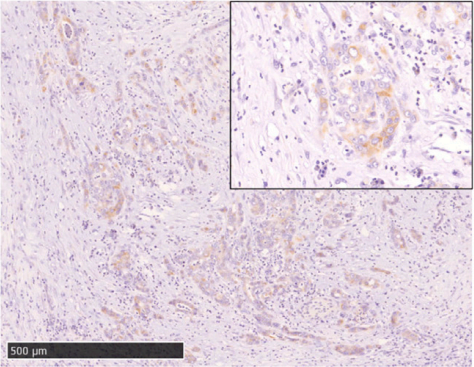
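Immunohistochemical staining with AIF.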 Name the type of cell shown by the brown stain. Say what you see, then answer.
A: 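Cancer cells. Brown stain lies in the cytoplasm of cells forming irregular glands. The stained glands sit in a dense spindle-cell stroma. Stained cells have enlarged, irregular nuclei.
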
